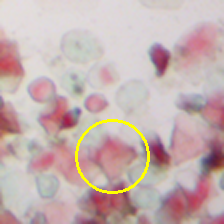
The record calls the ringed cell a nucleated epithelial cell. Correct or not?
Not correct; it is a cornified epithelial cell.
